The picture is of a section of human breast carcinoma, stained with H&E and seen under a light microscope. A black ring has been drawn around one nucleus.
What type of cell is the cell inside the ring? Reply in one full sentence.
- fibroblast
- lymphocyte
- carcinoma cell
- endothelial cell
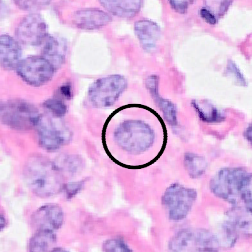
In this tissue sample, the cell inside the ring is a carcinoma cell.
